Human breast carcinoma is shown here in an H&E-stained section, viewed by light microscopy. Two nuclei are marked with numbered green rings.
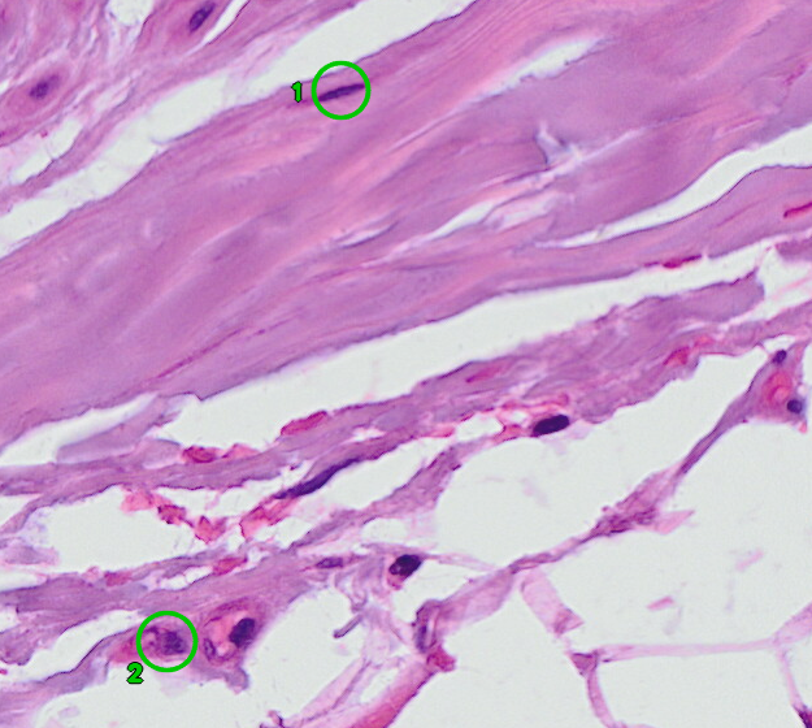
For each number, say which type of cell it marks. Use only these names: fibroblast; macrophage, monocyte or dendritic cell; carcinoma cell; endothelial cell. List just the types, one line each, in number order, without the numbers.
fibroblast
endothelial cell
